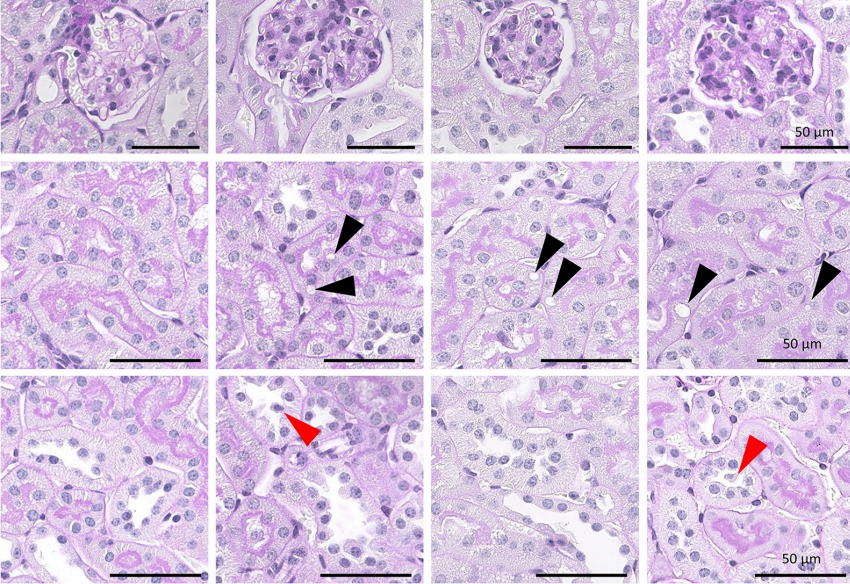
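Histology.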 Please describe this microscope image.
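These are sections of kidney showing glomeruli and renal tubules lined by epithelial cells. The glomeruli appear as rounded tufts of densely packed cells with purple nuclei, set within a clear space. The tubules are lined by cuboidal epithelial cells with round purple nuclei and pink-magenta cytoplasm, and some tubules show a strongly magenta luminal border. Scattered small round clear vacuoles lie within some tubular epithelial cells, and in places cells appear detached into the tubular lumen.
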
